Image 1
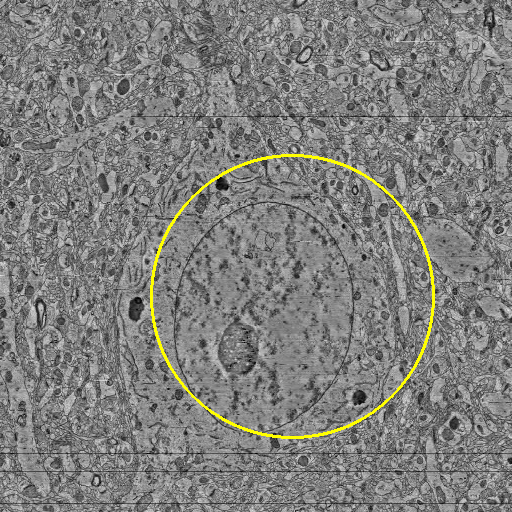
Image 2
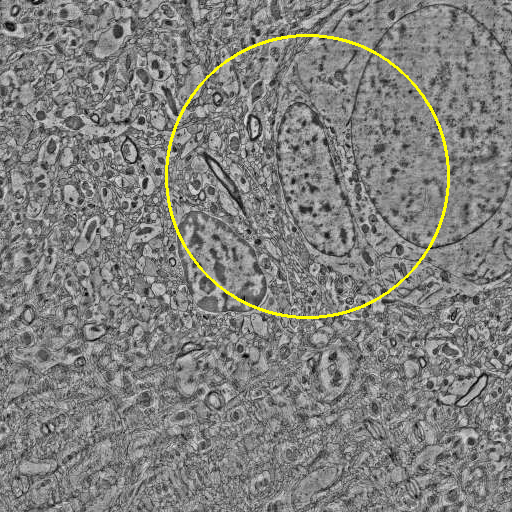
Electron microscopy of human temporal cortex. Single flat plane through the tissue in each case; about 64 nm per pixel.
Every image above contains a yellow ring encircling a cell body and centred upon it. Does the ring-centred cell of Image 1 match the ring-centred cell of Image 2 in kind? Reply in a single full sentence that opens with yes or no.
No, the cell at the ring's centre in Image 1 is a separate kind from that in Image 2.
